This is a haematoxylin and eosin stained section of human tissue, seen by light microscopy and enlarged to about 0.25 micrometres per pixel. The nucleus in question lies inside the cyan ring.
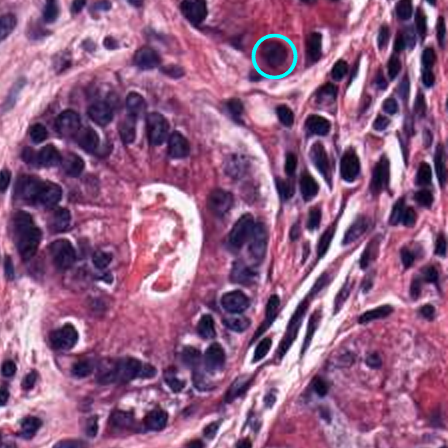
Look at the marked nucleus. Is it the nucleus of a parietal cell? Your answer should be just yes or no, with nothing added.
yes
